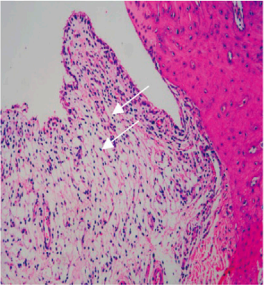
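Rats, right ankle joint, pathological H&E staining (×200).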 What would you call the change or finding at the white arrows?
Inflammatory cell infiltration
